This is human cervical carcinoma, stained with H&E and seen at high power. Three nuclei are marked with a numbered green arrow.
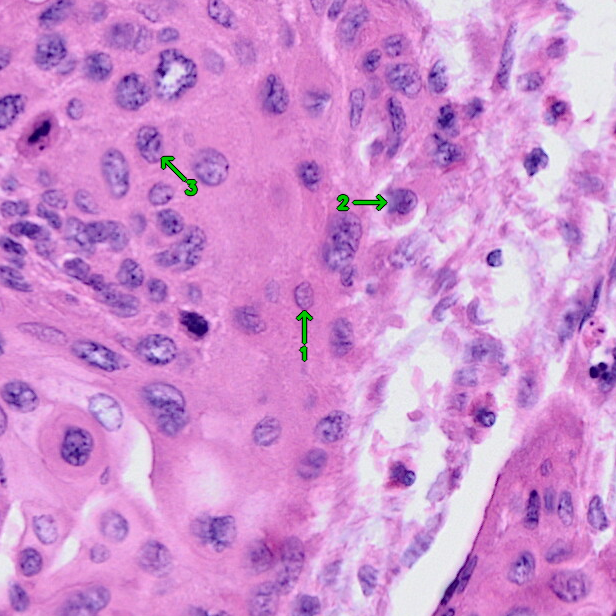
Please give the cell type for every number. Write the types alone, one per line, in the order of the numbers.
squamous carcinoma cell
macrophage or monocyte
squamous carcinoma cell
